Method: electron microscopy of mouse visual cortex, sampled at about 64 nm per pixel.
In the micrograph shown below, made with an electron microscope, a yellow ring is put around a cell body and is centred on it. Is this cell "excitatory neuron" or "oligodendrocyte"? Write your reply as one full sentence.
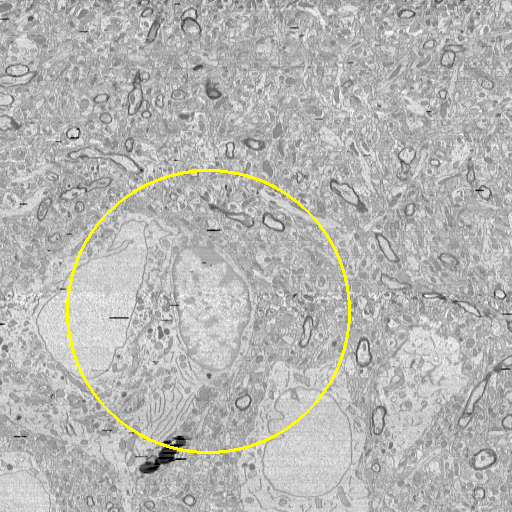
In the micrograph, an oligodendrocyte is the cell at the centre of the yellow ring.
